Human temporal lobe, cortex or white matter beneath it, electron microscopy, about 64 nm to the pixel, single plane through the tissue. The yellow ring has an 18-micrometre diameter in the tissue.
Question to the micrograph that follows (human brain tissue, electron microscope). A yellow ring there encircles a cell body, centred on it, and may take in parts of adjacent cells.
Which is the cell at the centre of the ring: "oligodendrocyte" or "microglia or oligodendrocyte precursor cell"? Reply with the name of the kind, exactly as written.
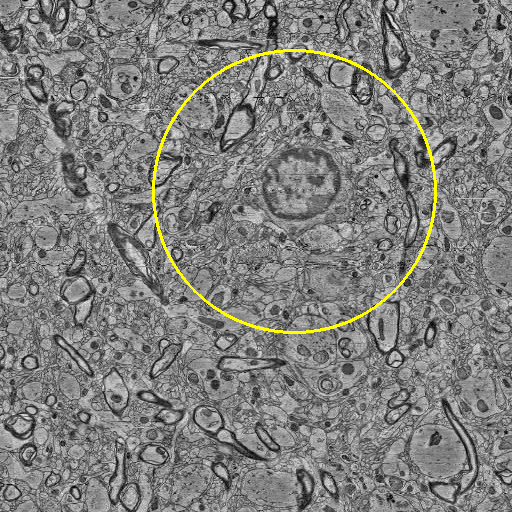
oligodendrocyte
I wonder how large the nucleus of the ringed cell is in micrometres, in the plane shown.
About 5 micrometres across, as seen in this plane.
